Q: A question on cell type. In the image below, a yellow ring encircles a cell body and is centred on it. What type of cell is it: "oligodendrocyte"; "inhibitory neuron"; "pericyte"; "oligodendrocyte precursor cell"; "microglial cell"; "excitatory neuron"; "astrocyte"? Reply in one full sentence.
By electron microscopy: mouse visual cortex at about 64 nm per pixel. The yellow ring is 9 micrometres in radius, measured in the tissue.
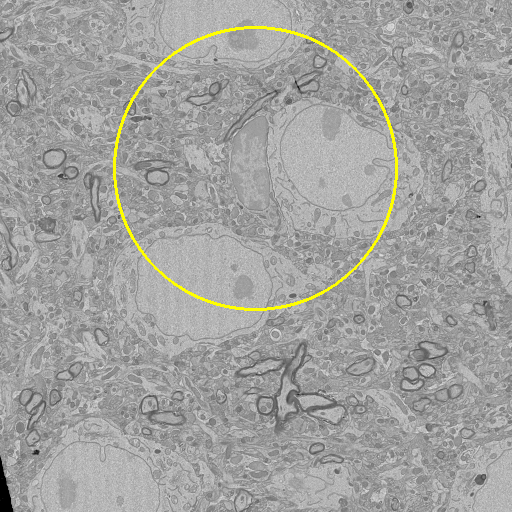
It is a microglial cell whose cell body sits at the centre of the yellow ring in the image.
